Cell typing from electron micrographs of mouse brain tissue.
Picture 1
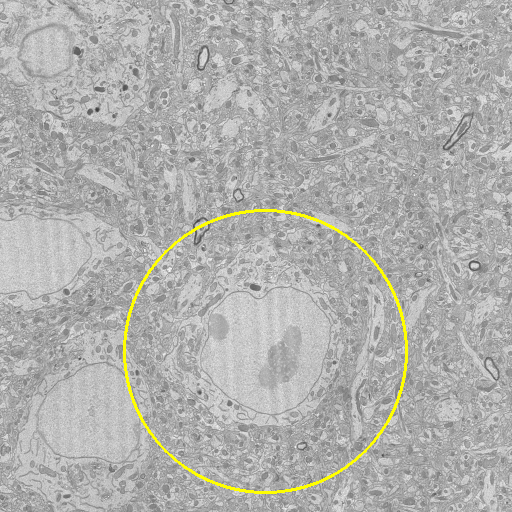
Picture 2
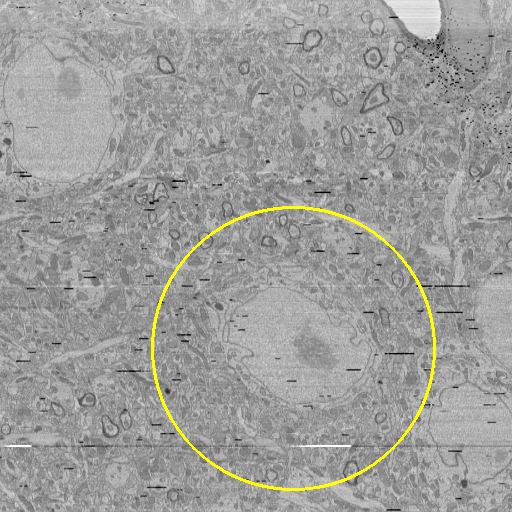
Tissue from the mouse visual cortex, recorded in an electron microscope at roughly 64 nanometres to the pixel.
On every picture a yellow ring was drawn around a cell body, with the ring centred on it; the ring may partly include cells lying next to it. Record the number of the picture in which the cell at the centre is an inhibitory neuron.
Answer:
2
